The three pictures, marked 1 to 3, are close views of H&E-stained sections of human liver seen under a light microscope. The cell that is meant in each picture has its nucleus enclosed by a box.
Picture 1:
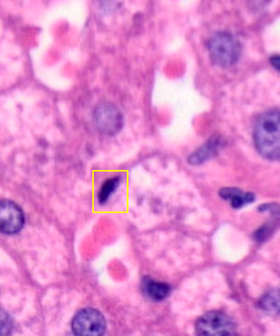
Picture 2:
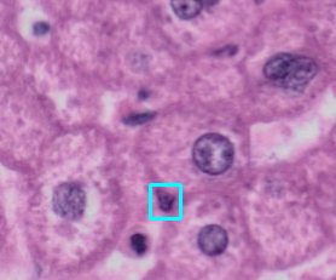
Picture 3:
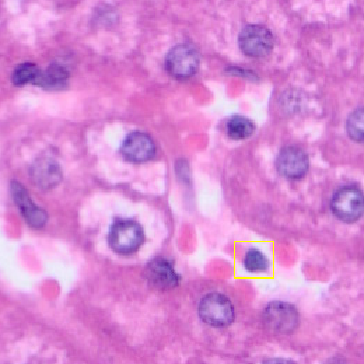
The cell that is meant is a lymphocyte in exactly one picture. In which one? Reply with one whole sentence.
The lymphocyte is the one in picture 3.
